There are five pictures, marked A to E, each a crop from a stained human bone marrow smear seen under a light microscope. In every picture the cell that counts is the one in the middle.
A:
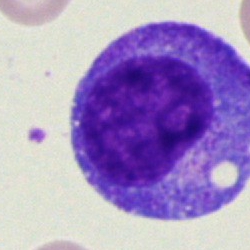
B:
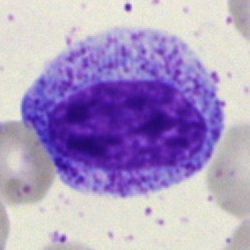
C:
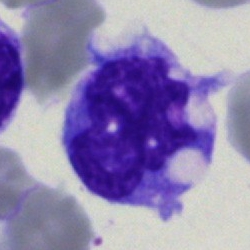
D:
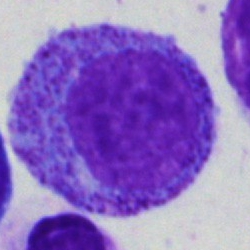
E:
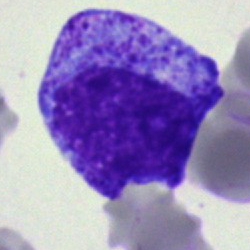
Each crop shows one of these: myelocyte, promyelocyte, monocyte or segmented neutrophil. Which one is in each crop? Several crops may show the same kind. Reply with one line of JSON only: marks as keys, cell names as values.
{"A": "promyelocyte", "B": "myelocyte", "C": "monocyte", "D": "promyelocyte", "E": "promyelocyte"}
